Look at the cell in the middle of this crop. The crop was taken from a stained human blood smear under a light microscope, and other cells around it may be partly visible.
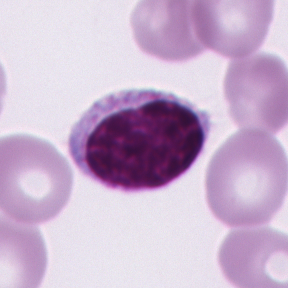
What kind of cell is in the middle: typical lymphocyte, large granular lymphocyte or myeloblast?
large granular lymphocyte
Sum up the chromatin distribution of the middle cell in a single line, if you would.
In this nucleus, the chromatin is arranged in coarse clumps.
